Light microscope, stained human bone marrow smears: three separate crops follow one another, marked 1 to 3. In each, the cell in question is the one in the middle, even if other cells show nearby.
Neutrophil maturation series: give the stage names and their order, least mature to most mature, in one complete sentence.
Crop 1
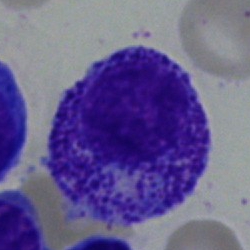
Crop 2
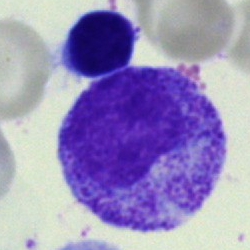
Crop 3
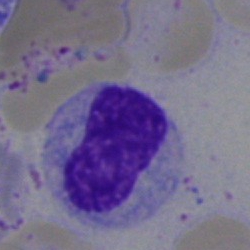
Least mature first and most mature last, the order is crop 2 (a promyelocyte), crop 1 (a myelocyte) and crop 3 (a band neutrophil).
